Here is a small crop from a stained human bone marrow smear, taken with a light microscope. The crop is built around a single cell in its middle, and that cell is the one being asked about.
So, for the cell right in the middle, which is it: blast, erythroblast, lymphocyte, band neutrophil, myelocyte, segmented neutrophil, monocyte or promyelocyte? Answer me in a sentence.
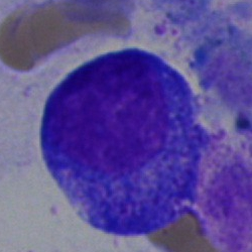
This crop's central cell is a promyelocyte.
